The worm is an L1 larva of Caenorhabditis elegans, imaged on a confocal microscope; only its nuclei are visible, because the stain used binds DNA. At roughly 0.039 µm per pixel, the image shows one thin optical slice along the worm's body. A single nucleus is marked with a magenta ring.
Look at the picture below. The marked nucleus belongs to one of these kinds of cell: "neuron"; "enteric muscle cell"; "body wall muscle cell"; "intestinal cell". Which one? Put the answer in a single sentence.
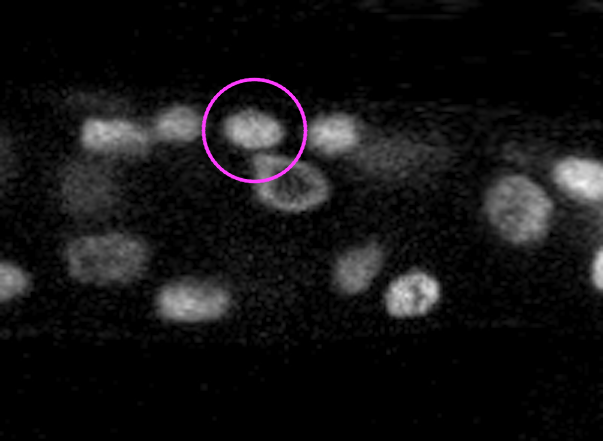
The cell with the marked nucleus is a neuron.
